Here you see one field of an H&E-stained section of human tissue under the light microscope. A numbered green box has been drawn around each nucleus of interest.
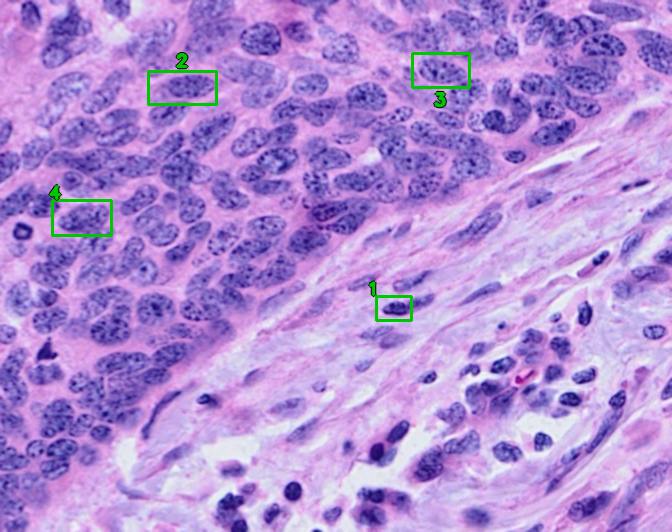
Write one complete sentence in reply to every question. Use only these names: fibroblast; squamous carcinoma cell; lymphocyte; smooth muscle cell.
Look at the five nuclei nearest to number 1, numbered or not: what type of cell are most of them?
Most of the five nuclei nearest to number 1 are those of fibroblasts.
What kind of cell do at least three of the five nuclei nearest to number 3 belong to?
Squamous carcinoma cells make up most of the five nuclei closest to number 3.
